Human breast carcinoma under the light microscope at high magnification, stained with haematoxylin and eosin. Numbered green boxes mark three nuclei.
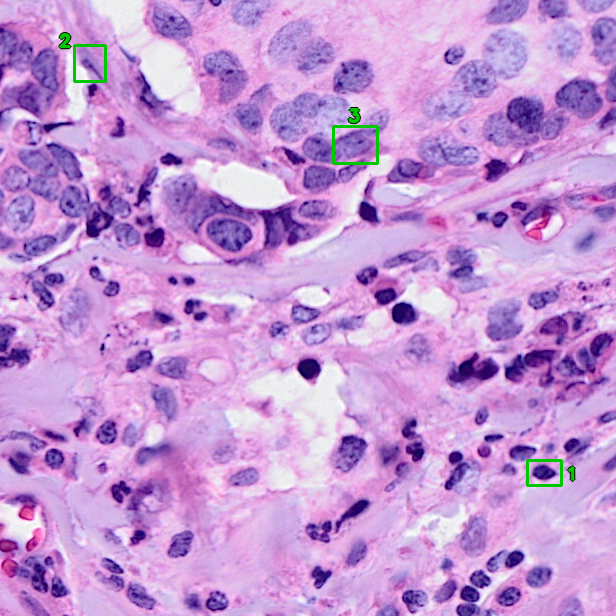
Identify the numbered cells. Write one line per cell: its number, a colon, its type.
1: lymphocyte
2: fibroblast
3: carcinoma cell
